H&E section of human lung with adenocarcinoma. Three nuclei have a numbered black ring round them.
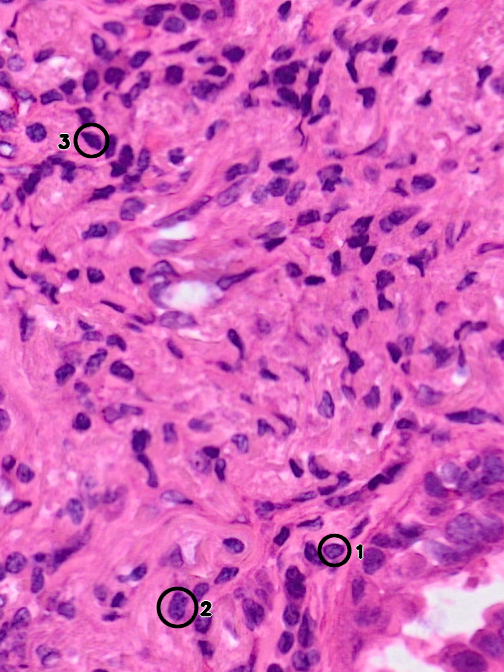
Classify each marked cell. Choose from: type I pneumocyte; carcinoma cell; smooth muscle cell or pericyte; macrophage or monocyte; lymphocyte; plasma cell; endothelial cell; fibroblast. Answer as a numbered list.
1. lymphocyte
2. plasma cell
3. lymphocyte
